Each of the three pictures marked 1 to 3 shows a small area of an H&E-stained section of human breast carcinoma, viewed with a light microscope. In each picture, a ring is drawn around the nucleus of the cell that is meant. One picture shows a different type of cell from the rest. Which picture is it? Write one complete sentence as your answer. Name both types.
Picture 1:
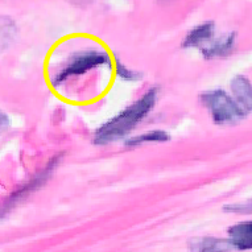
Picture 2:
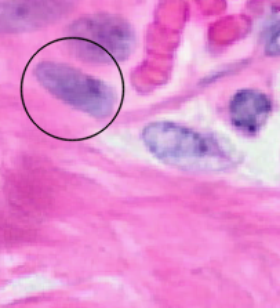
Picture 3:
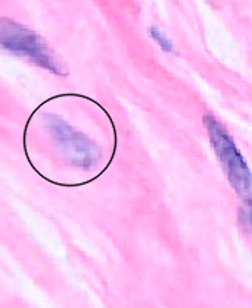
The others show endothelial cells, but picture 3 shows a fibroblast.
